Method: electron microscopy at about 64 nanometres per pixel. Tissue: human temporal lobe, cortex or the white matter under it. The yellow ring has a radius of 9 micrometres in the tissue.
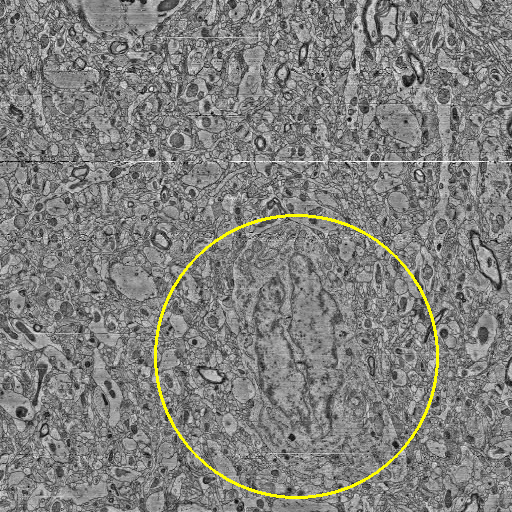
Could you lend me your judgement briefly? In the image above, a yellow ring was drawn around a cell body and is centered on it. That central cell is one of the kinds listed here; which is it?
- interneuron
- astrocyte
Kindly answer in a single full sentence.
Going by the list, an interneuron is the kind at the ring's center in the picture.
